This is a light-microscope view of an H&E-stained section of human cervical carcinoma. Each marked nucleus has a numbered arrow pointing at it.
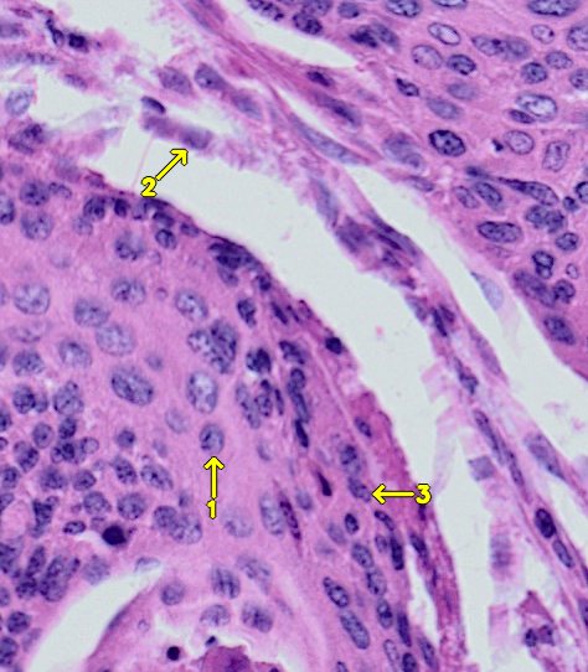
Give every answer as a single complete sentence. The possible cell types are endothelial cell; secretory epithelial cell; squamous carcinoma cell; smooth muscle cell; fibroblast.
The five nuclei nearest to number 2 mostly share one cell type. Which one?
Most of the five nuclei nearest to number 2 are those of fibroblasts.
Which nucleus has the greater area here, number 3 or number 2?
Of the two, number 2 is bigger and takes up about 1.5 times the area of number 3.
